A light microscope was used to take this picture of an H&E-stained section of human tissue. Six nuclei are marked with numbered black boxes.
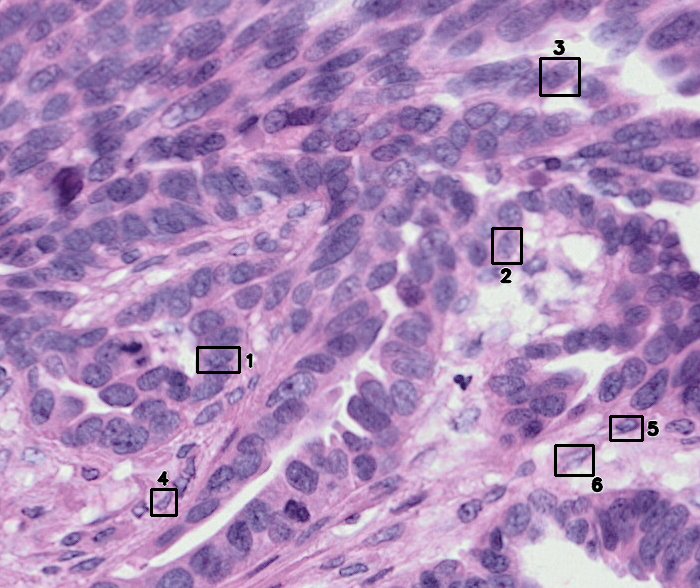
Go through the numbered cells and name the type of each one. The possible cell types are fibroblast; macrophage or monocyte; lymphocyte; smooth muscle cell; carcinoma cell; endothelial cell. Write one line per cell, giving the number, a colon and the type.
1: carcinoma cell
2: carcinoma cell
3: carcinoma cell
4: fibroblast
5: fibroblast
6: fibroblast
